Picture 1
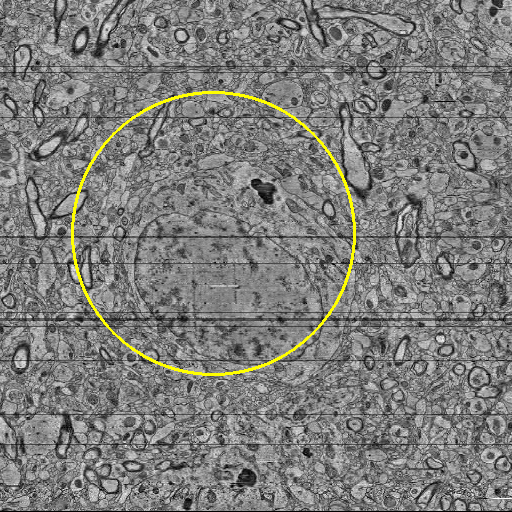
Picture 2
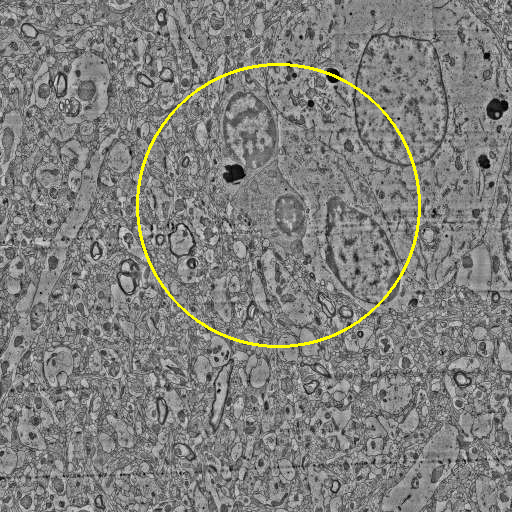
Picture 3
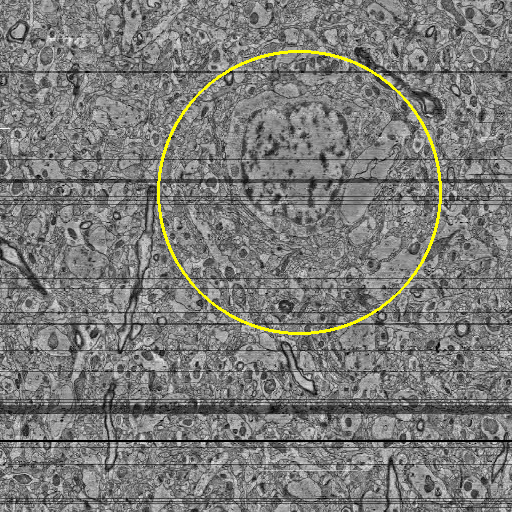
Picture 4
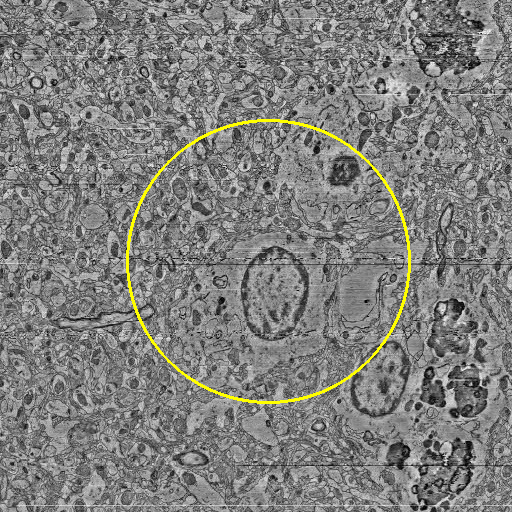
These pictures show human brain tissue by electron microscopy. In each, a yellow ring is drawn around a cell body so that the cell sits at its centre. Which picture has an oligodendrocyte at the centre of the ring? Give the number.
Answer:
2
